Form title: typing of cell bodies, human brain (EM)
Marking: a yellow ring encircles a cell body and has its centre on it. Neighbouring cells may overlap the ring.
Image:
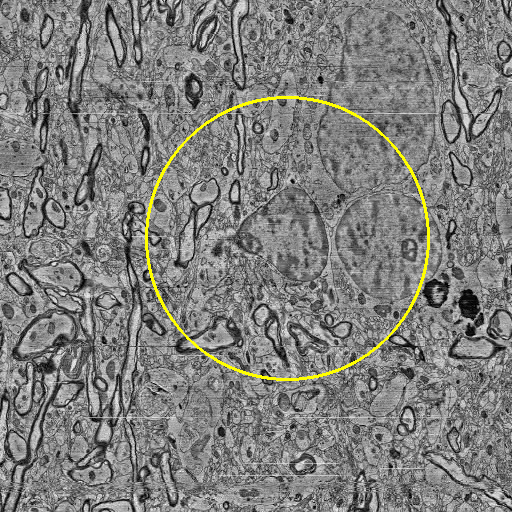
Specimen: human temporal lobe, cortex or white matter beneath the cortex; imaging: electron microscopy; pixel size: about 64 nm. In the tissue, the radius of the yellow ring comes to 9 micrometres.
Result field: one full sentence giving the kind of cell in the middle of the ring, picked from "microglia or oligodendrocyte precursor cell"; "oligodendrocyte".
In the picture, the ring is centred on a microglial cell or oligodendrocyte precursor cell, whose cell body it encircles.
